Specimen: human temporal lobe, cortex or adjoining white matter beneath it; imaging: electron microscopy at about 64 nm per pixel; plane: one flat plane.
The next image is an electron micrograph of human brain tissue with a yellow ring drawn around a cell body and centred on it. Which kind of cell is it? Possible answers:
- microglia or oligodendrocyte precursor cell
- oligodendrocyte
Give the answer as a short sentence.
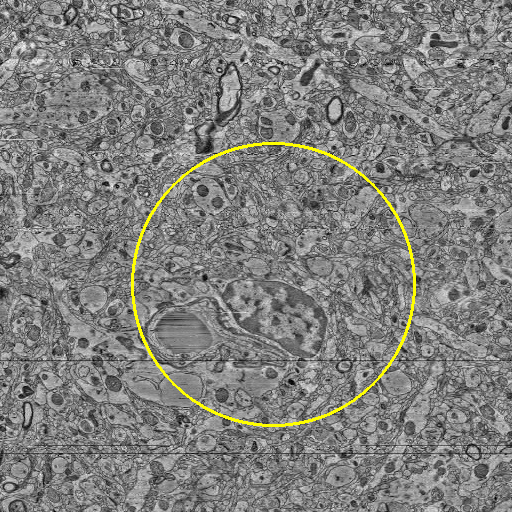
In the ring's centre is a microglial cell or oligodendrocyte precursor cell.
